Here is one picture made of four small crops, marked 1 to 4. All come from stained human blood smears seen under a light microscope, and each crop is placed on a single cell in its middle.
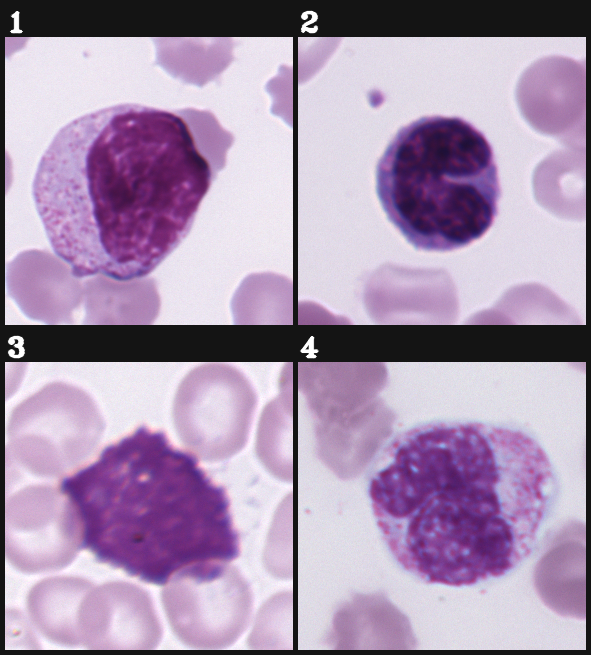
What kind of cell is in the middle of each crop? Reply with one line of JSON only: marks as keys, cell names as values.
{"1": "myelocyte", "2": "monocyte", "3": "smudge cell", "4": "band neutrophil"}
